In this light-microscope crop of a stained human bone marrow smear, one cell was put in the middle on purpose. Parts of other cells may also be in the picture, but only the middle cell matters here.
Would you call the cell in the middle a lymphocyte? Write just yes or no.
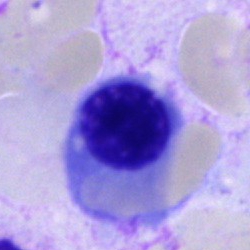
no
